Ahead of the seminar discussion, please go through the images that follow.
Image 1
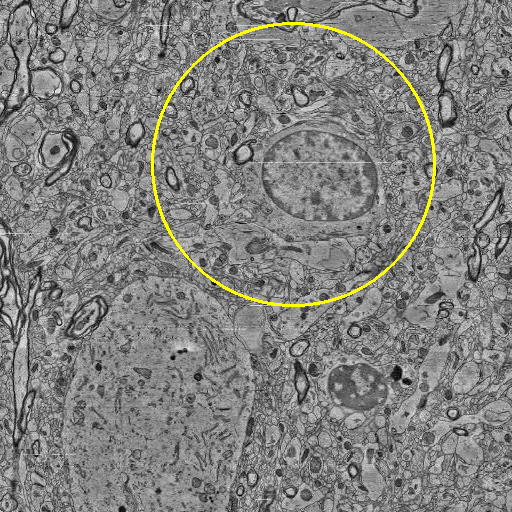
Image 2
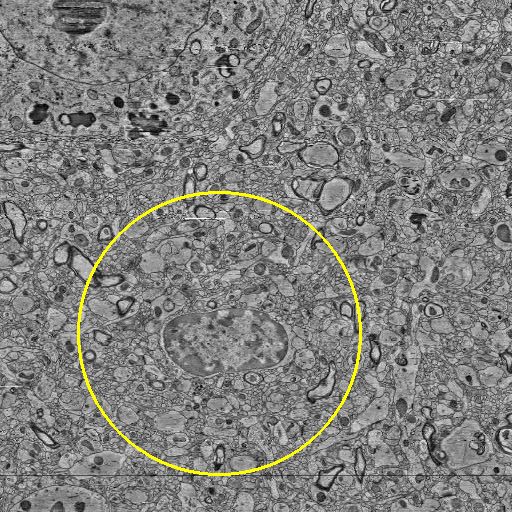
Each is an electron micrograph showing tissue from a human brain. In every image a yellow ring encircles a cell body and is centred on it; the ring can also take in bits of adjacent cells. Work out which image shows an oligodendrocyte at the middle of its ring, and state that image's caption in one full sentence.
In Image 1, the ring's centre holds the cell you are looking for.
